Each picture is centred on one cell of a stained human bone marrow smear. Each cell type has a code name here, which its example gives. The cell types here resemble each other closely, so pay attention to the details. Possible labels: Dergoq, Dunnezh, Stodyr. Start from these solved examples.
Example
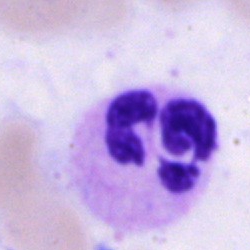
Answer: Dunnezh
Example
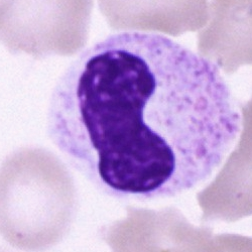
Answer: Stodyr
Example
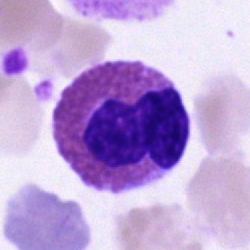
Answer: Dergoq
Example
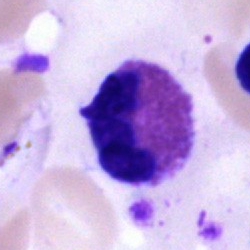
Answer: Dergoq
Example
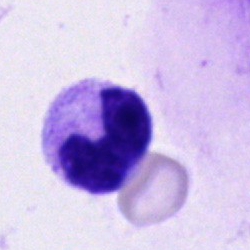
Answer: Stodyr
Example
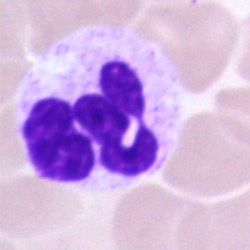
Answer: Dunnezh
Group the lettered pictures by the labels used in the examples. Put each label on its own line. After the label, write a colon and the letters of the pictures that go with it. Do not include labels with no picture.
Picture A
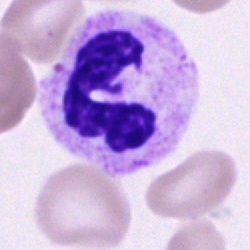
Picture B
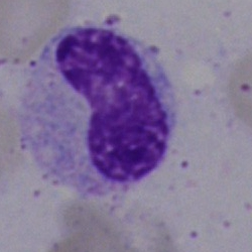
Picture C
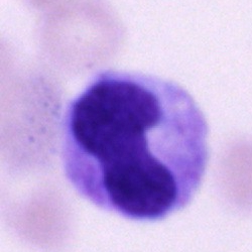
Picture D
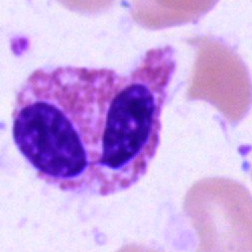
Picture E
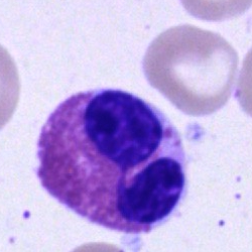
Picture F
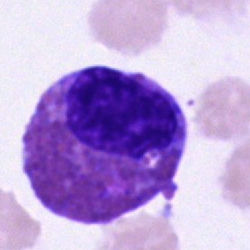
Dergoq: D, E, F
Dunnezh: A
Stodyr: B, C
